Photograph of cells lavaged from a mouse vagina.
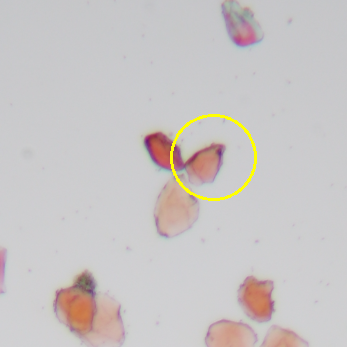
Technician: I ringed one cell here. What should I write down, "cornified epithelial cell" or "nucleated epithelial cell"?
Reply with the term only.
cornified epithelial cell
